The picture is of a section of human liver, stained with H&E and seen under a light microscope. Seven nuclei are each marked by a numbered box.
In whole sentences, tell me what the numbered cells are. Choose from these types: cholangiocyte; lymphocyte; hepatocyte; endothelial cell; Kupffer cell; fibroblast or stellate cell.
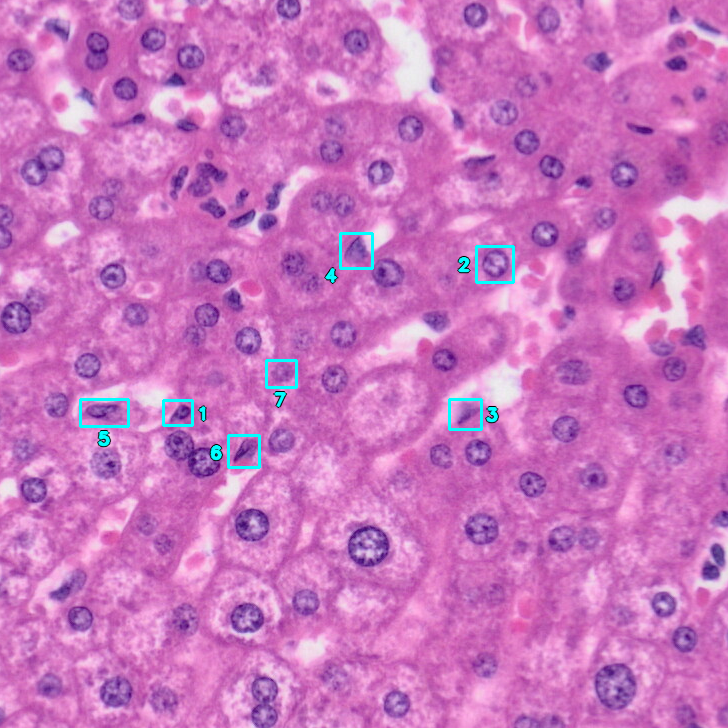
Cell 1 is a fibroblast or stellate cell, cell 2 is a hepatocyte, cell 3 is an endothelial cell, cell 4 is an endothelial cell, cell 5 is a Kupffer cell, cell 6 is an endothelial cell and cell 7 is a hepatocyte.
